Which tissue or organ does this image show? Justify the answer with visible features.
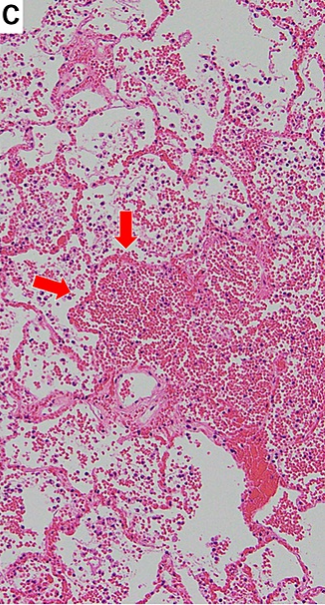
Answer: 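Thin septa outline many rounded air spaces. The tissue has a lace-like alveolar pattern.
Conclusion: lung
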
